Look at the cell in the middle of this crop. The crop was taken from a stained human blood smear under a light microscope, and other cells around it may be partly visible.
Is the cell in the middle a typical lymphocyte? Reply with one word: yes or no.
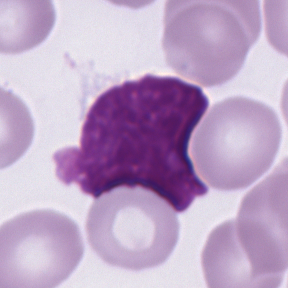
no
